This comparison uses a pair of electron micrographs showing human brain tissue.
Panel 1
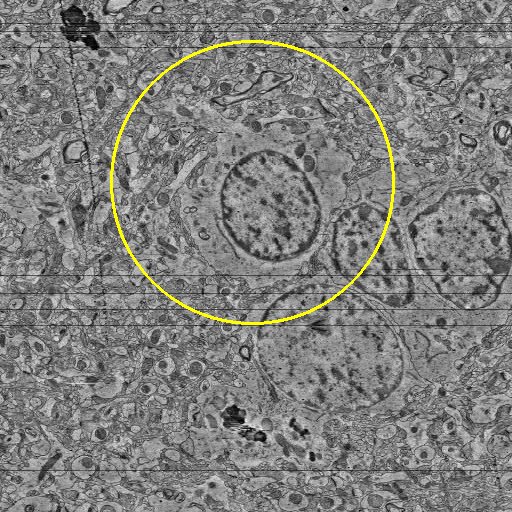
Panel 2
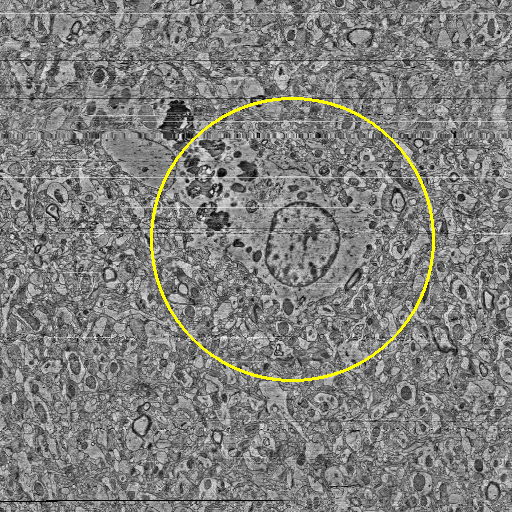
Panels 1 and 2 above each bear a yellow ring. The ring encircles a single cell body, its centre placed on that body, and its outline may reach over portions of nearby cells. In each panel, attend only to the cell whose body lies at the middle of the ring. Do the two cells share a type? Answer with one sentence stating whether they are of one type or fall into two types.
In Panel 1 and Panel 2, the cells at the centres of the rings are of one type.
